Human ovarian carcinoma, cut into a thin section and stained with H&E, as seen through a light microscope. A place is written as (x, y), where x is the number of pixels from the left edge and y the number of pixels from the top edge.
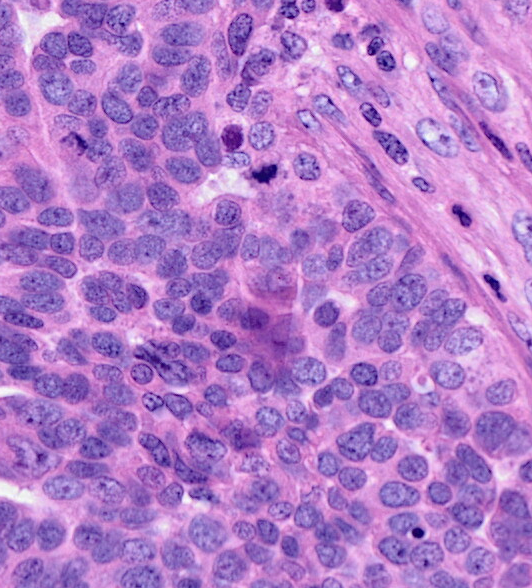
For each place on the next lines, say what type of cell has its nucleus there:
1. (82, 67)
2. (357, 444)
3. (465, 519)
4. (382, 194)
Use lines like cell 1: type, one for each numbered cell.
cell 1: carcinoma cell
cell 2: carcinoma cell
cell 3: carcinoma cell
cell 4: fibroblast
